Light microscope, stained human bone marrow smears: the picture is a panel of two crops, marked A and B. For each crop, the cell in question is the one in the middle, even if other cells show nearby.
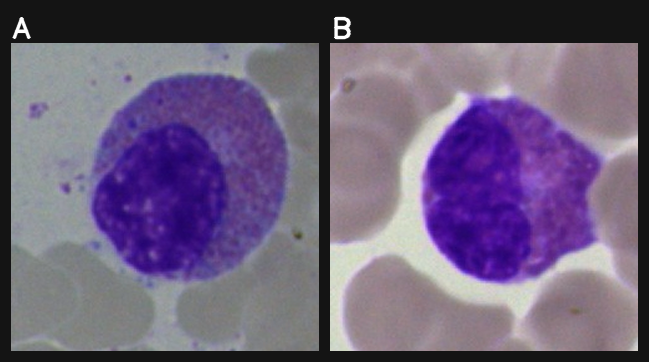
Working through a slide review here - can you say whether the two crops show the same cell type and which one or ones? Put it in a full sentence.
Yes, both crops show eosinophils, and that holds for each one.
